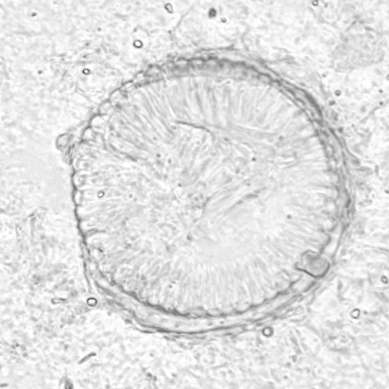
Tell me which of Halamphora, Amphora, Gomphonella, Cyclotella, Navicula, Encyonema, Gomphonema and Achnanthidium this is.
The picture shows Cyclotella.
